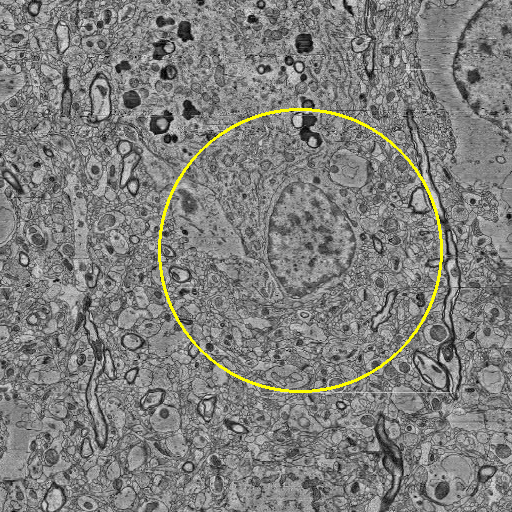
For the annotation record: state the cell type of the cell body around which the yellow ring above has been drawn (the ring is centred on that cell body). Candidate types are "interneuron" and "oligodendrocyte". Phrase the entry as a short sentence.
The ringed cell is an oligodendrocyte.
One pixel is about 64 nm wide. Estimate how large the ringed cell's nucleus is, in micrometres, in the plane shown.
Roughly 7 by 6 micrometres in this plane, for the nucleus of the ringed cell.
